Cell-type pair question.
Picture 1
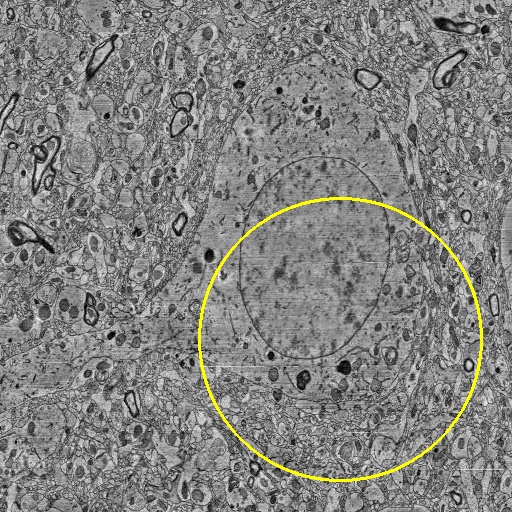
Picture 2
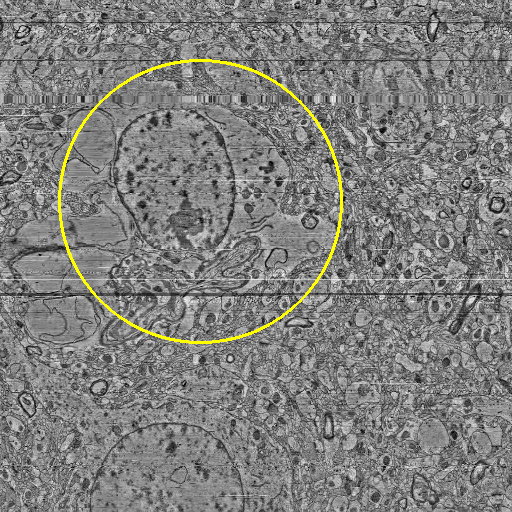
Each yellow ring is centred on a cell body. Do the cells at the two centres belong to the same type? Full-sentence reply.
No, the two cells belong to two types.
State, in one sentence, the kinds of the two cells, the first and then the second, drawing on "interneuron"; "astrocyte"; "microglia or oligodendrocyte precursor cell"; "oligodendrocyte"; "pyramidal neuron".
The ring in the second picture is centred on an astrocyte, the ring in the first on a pyramidal neuron.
